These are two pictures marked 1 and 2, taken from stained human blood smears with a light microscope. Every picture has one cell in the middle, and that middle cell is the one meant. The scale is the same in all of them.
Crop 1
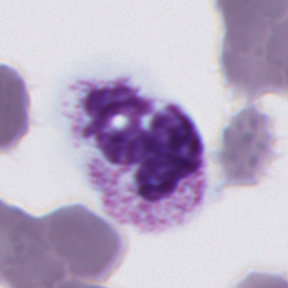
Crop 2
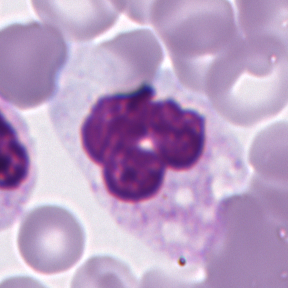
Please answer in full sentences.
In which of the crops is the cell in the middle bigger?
Crop 2 holds the larger cell; it covers about 1.5 times the area of the cell in crop 1.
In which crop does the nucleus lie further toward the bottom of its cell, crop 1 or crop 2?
Seen within its cell, the nucleus in crop 2 lies further toward the bottom.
